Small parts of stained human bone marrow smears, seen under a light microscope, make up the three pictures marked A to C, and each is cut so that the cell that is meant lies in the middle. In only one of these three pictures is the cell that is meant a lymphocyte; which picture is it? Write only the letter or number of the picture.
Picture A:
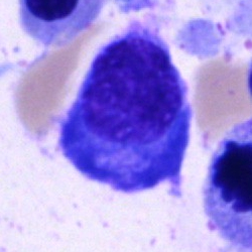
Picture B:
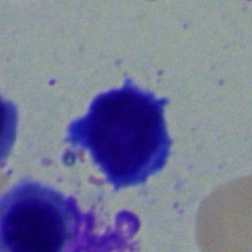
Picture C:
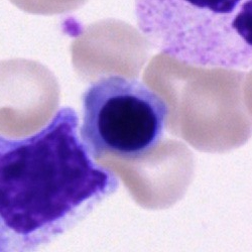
B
